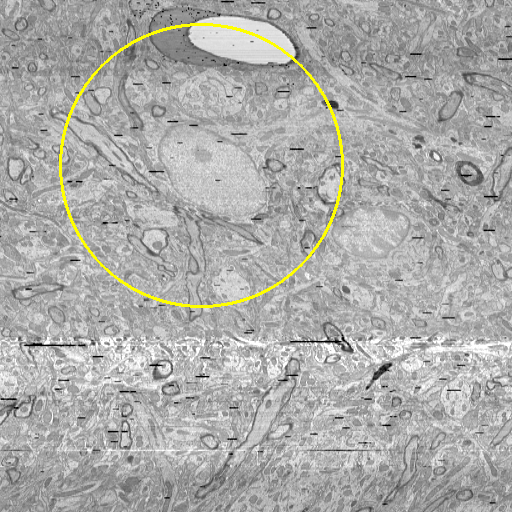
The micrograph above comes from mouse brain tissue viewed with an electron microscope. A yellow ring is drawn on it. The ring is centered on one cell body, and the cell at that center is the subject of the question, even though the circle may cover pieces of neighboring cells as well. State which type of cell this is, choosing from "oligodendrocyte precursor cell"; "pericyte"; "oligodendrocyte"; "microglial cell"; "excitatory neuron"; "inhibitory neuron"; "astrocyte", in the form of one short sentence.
The cell the ring is centered on is an astrocyte.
